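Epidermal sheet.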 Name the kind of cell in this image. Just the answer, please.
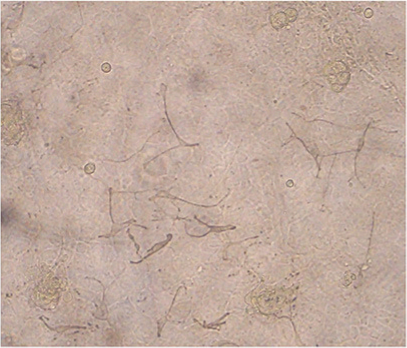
dendritic melanocytes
